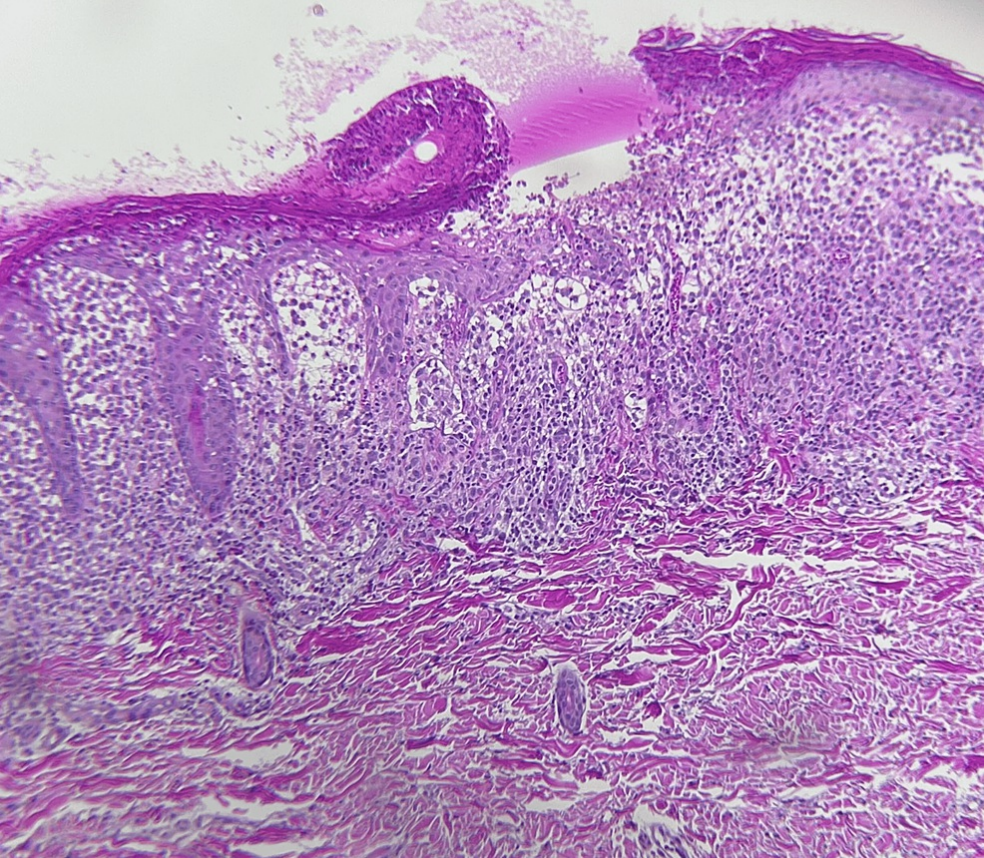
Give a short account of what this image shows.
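This is a section of skin with an ulcerated epidermis and a dense inflammatory cell infiltrate in the dermis and epidermis. The surface layer of the epidermis is broken in the upper middle, where homogeneous pink material and loose cells lie over the gap, while to either side a compact pink keratin layer still covers the epithelium. The epithelium forms downgrowths that are crowded and partly obscured by numerous small round cells with dark purple nuclei, some gathered in pale spaces within the epidermis. The upper dermis is filled by sheets of these small inflammatory cells. The deeper dermis consists of wavy pink collagen bundles with only scattered cells and a few small oval structures cut in cross-section.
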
